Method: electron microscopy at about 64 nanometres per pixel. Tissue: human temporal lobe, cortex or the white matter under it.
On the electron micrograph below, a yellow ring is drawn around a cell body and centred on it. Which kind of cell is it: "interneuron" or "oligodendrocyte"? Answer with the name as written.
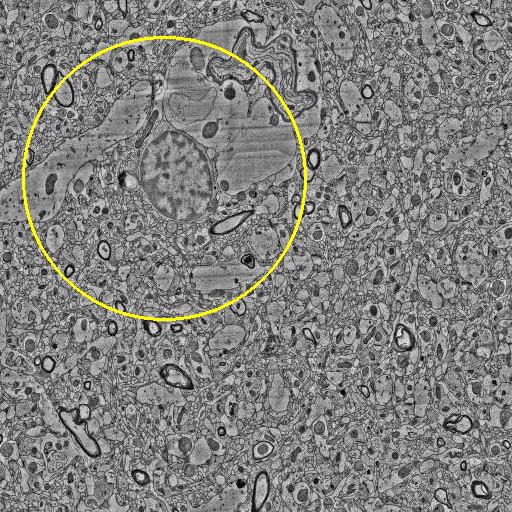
oligodendrocyte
